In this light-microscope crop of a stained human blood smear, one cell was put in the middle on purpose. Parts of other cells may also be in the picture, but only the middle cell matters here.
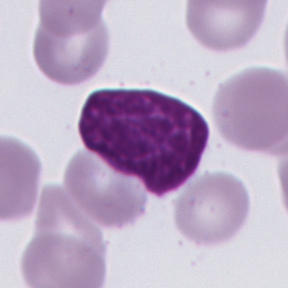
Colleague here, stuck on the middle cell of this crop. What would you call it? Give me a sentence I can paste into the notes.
Of the cells in this crop, the central one is a smudge cell.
